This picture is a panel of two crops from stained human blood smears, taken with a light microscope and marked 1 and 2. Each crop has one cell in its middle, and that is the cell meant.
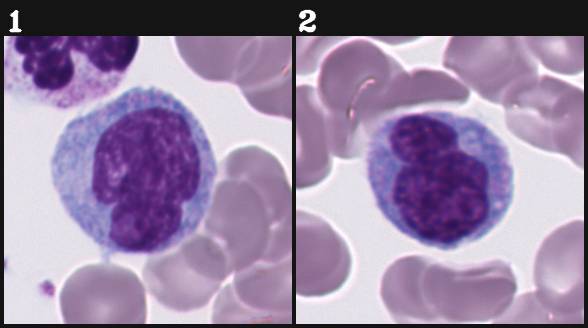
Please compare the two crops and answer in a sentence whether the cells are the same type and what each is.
Yes, in the middle of both crops, monocytes are shown.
